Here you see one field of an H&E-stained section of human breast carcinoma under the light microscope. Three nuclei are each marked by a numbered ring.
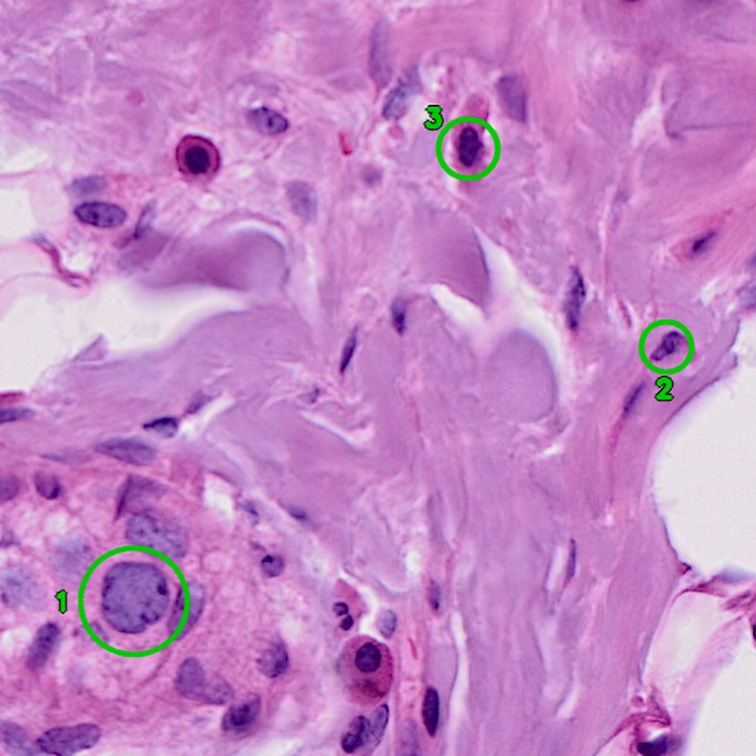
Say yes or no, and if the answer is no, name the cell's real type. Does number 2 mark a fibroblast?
Yes.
